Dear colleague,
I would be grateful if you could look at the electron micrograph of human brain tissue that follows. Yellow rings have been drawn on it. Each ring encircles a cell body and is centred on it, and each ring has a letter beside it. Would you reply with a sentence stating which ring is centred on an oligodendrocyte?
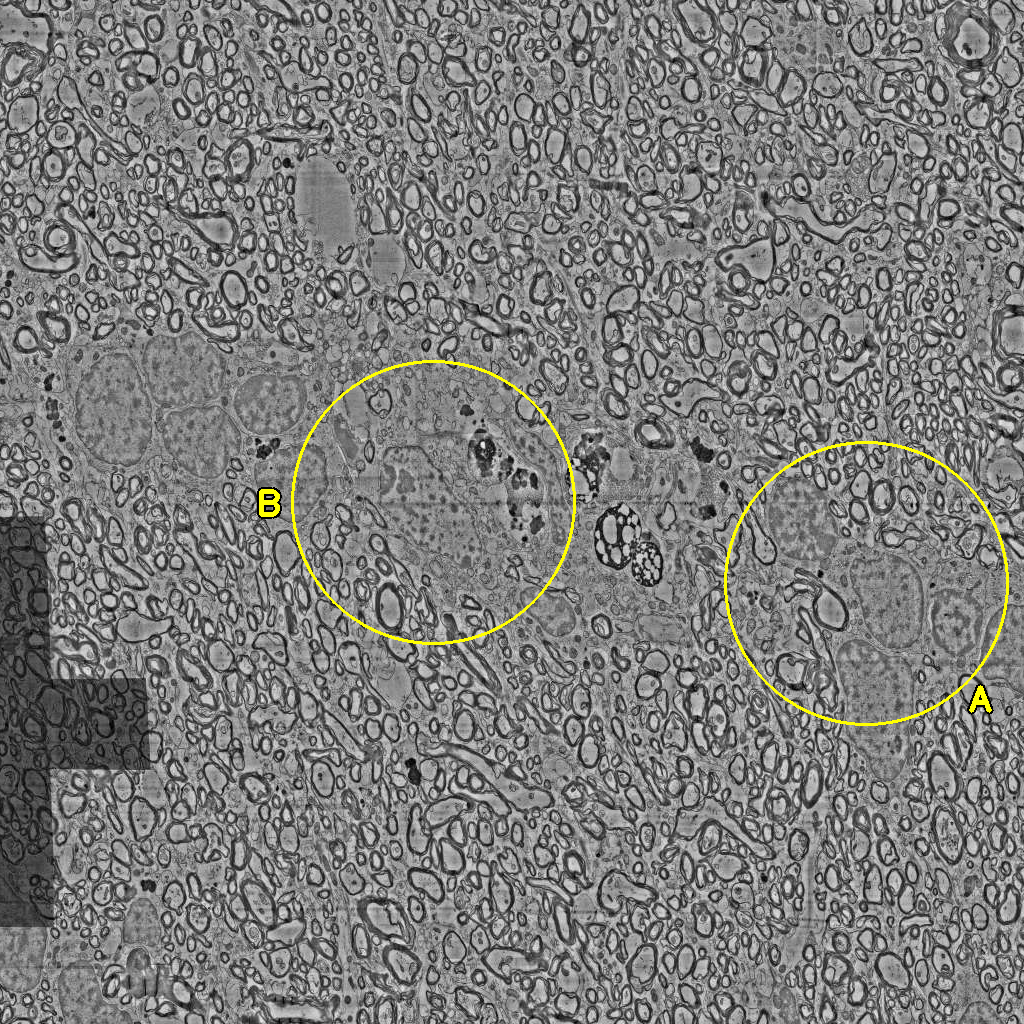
The ring centred on it is ring A.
